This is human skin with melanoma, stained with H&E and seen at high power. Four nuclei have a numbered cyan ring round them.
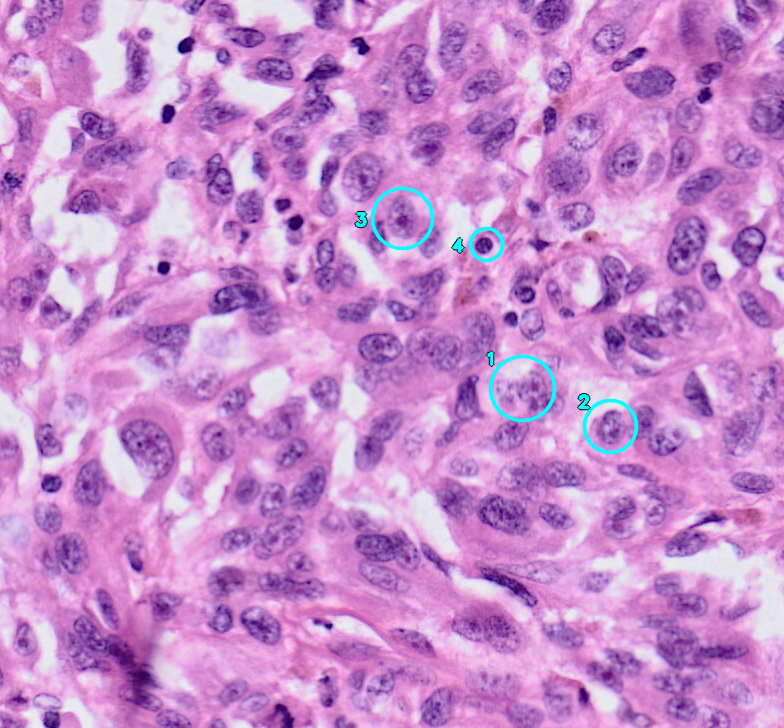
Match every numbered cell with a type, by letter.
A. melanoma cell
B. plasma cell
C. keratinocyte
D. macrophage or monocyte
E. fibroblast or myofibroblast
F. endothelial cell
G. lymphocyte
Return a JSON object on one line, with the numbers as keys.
{"1": "A", "2": "A", "3": "A", "4": "G"}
